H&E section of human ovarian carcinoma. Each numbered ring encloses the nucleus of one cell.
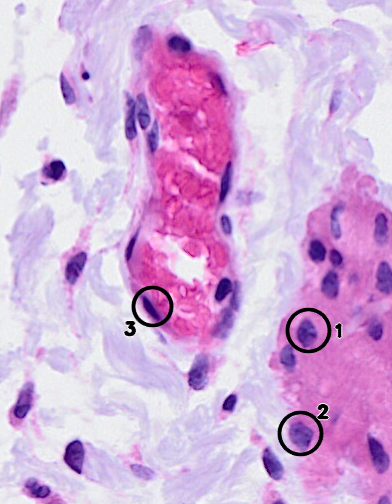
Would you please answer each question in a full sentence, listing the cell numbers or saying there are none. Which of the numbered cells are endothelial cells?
A single numbered cell, cell 3, is an endothelial cell.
